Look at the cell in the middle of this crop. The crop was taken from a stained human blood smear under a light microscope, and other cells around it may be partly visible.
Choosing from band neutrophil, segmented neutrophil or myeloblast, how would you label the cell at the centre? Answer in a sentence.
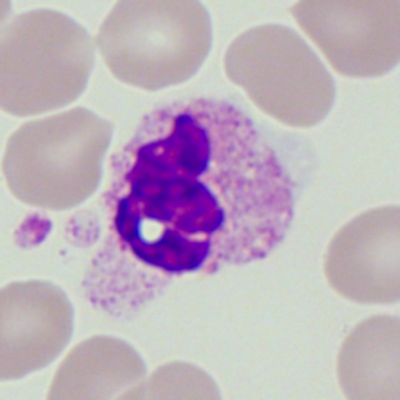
This particular crop is centered on a segmented neutrophil.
